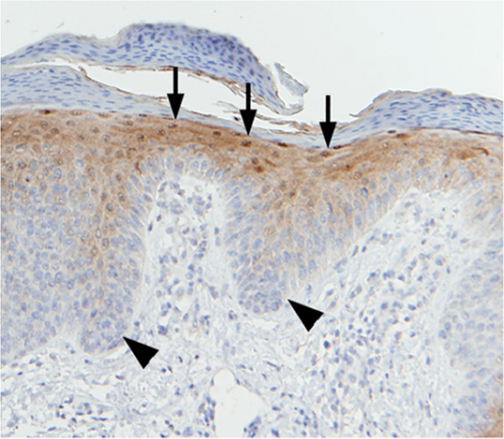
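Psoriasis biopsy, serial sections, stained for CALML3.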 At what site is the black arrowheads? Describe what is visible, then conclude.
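The arrowheads point at the lowest epithelial cell layers at the tips of the epidermal ridges. These lower layers are pale blue, with little brown stain. That points to this answer: basal and suprabasal layers.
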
